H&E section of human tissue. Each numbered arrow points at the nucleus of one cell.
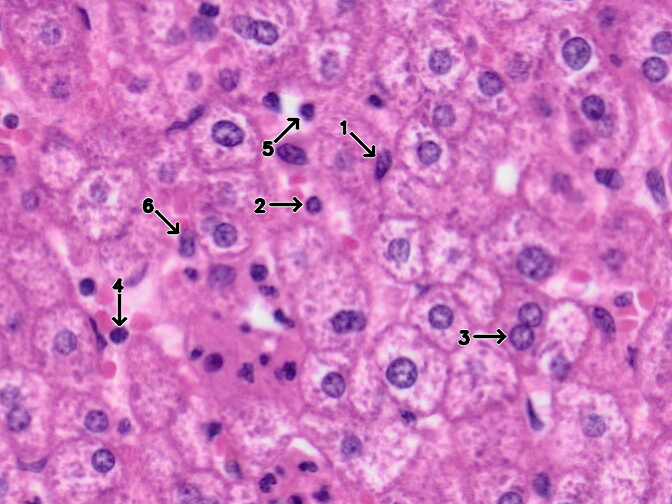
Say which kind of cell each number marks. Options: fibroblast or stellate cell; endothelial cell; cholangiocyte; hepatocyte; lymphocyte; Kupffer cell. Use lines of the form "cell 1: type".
cell 1: fibroblast or stellate cell
cell 2: lymphocyte
cell 3: hepatocyte
cell 4: lymphocyte
cell 5: lymphocyte
cell 6: Kupffer cell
